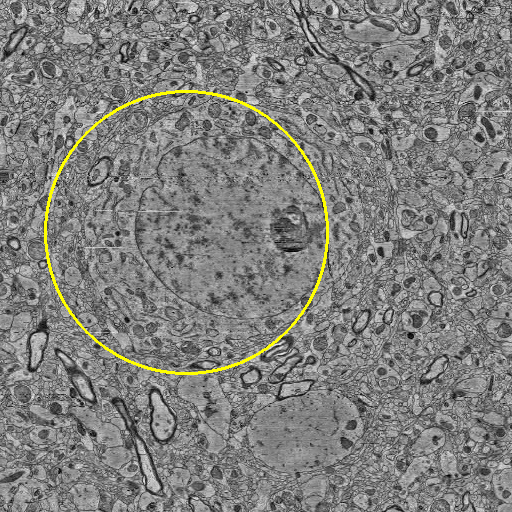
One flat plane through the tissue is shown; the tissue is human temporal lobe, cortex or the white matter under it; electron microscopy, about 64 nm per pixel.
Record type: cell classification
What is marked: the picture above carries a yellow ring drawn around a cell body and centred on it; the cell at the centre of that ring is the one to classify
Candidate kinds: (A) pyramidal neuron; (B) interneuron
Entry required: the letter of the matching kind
B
